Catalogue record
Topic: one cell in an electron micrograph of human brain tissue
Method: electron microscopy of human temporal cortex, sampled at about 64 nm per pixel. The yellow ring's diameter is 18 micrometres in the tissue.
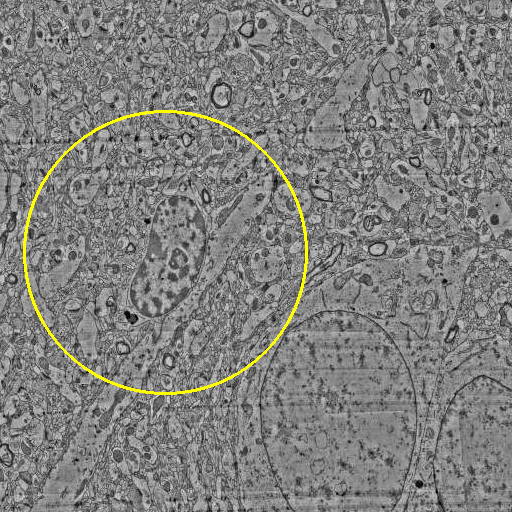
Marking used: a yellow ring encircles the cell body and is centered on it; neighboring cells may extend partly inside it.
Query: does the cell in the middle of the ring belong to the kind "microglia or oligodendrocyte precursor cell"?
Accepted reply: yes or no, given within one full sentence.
Yes, the cell centered in the ring in the picture is of that kind.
